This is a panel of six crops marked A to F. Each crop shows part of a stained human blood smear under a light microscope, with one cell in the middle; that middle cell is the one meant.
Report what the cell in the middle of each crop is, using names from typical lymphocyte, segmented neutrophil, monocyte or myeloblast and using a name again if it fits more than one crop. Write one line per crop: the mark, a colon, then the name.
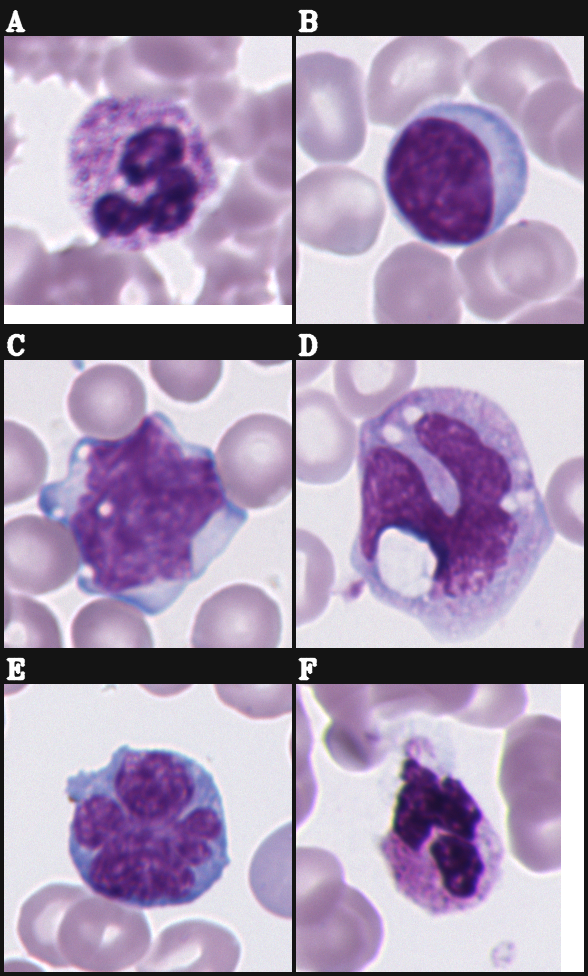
A: segmented neutrophil
B: typical lymphocyte
C: myeloblast
D: monocyte
E: myeloblast
F: segmented neutrophil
